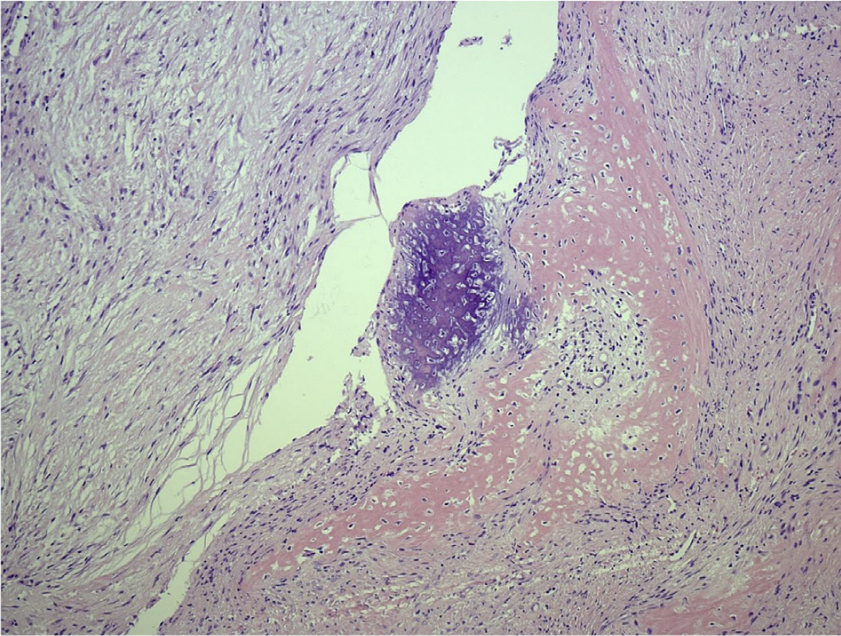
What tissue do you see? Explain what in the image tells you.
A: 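Loose spindle-cell stroma with wavy fibres fills the left and right parts of the field. A band of pink homogeneous matrix with cells sitting in lacunae runs through the centre-right. A deep blue-purple matrix island with cells in lacunae borders a cleft. The answer: Fibrous and osseous areas.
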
